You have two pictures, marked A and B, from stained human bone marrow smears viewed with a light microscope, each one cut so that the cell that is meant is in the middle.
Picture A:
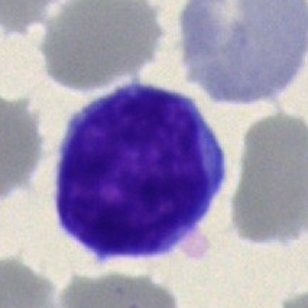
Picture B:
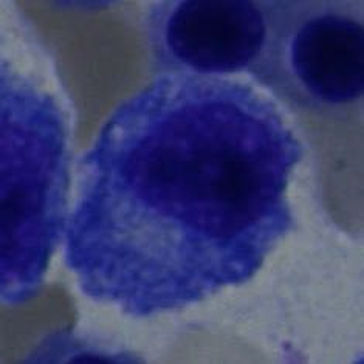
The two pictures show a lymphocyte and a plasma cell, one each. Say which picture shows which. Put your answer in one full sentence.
Picture B shows a plasma cell, while picture A shows a lymphocyte.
